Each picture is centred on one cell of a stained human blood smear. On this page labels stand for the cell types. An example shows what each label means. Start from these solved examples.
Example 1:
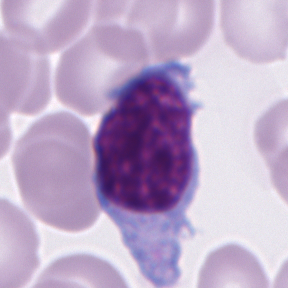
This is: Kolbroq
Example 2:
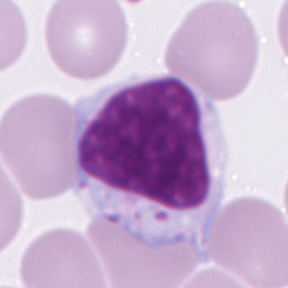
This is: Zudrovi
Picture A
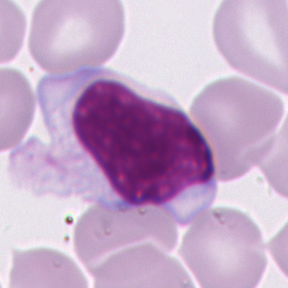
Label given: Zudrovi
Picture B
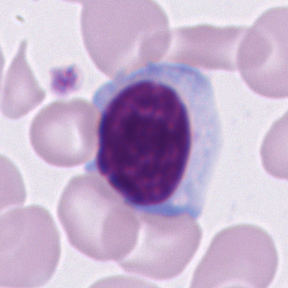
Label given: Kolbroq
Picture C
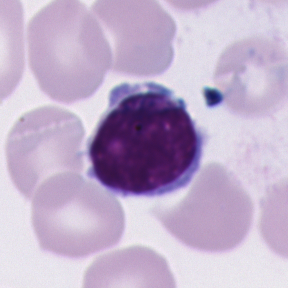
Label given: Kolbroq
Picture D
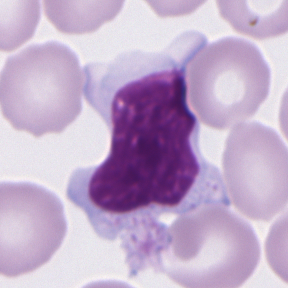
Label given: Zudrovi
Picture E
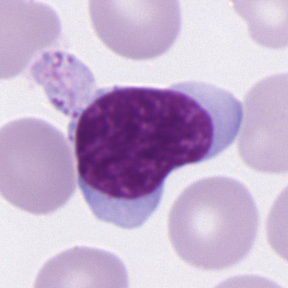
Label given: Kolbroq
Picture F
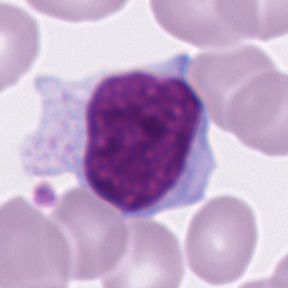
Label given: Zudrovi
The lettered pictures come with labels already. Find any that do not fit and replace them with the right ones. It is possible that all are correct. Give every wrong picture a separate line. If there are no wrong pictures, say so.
E: not Kolbroq but Zudrovi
